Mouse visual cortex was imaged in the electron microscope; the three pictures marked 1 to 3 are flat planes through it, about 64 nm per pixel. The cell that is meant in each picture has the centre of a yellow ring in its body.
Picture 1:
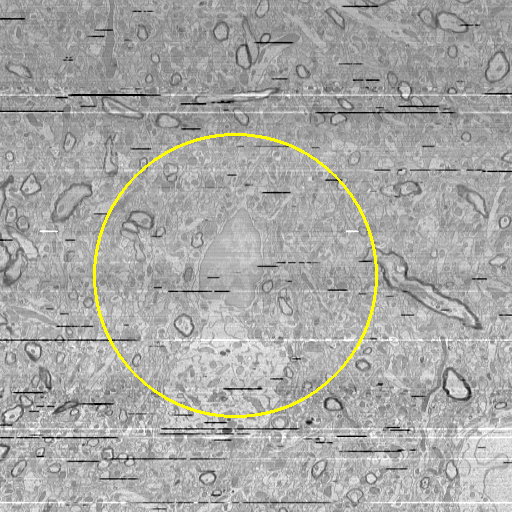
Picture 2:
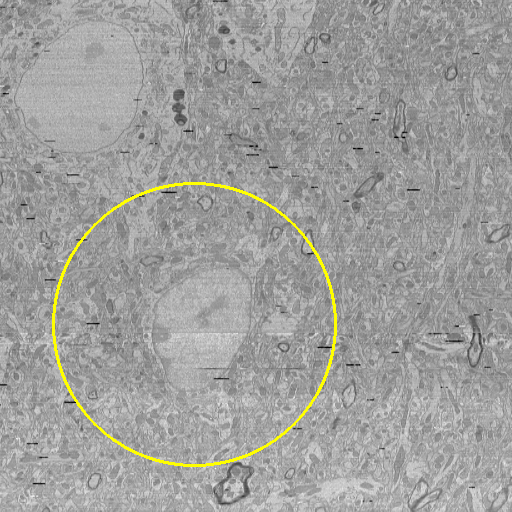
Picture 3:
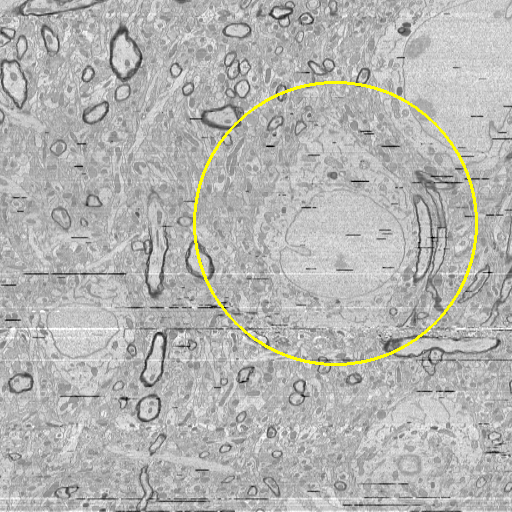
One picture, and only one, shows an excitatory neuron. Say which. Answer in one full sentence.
The cell in picture 3 is the excitatory neuron.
